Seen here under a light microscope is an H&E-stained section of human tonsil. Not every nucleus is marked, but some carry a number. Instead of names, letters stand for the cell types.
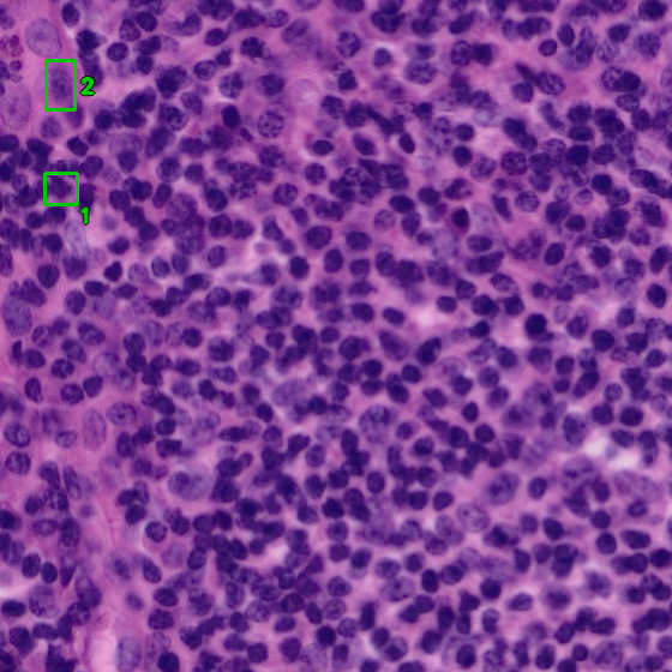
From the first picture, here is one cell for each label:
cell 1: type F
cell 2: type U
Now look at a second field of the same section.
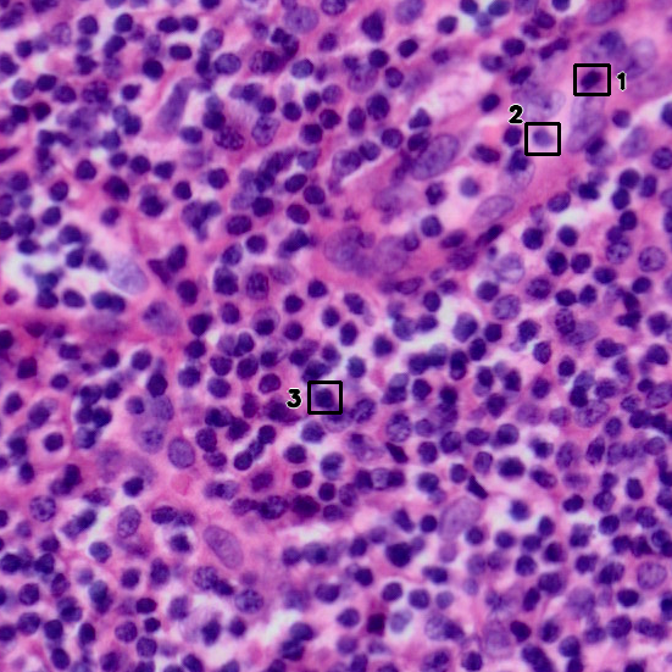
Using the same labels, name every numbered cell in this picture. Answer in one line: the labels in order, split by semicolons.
type U; type U; type F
